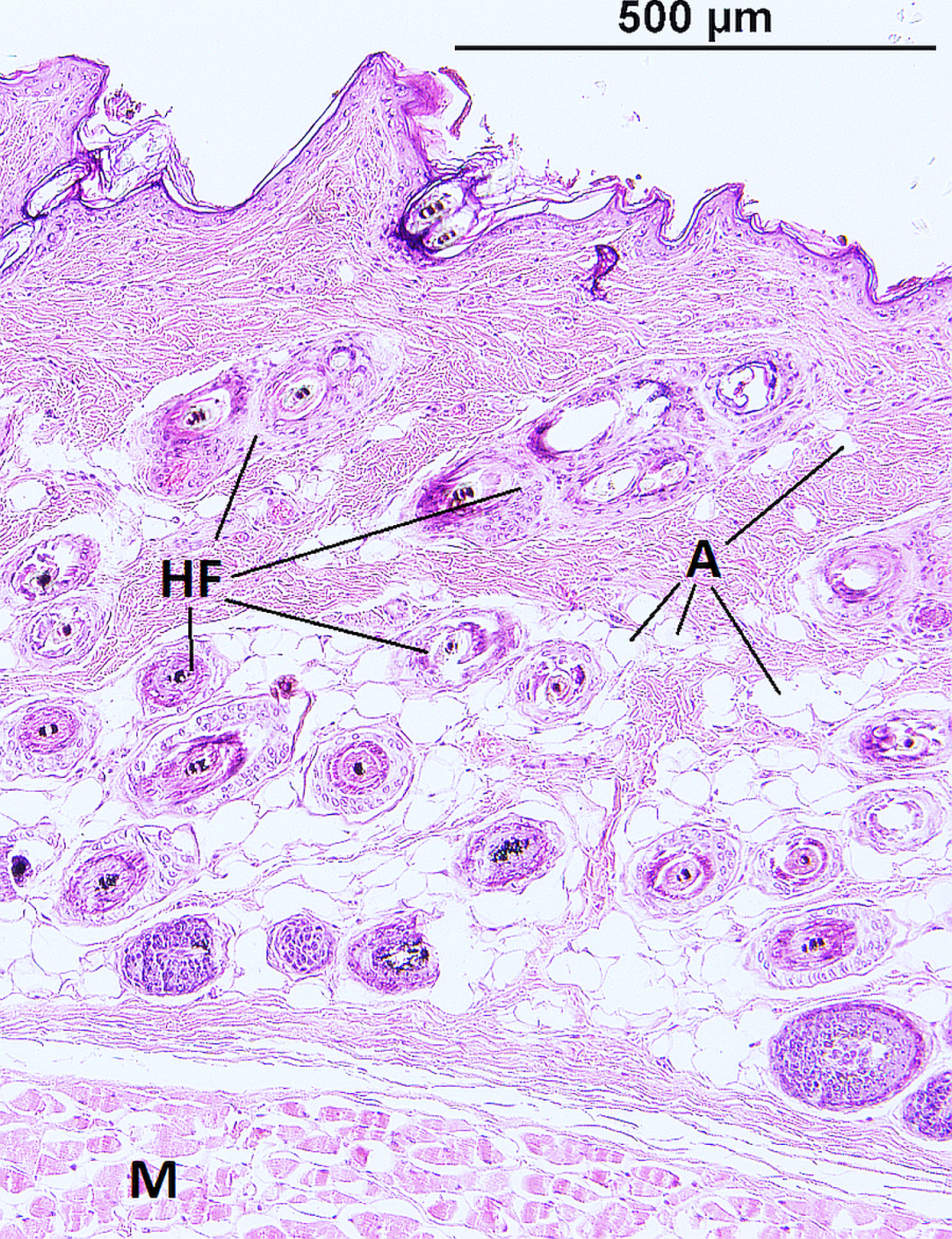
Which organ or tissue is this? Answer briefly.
Skin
